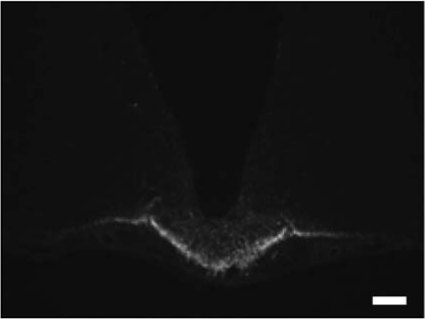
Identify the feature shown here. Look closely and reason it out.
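A dark V-shaped ventricular cavity narrows down toward the midline floor of the brain. Below the cavity the floor bulges ventrally as a thin midline eminence. The bulge carries a dense band of bright labelled fibres continuous with thin bands on each side.
Answer: median eminence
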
